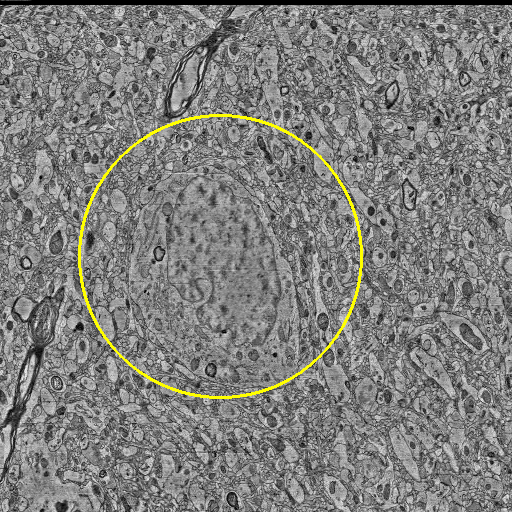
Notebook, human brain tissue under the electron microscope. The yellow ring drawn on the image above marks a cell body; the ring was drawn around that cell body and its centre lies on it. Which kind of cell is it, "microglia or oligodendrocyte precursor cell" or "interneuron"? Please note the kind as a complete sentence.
The marked cell body is that of an interneuron.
